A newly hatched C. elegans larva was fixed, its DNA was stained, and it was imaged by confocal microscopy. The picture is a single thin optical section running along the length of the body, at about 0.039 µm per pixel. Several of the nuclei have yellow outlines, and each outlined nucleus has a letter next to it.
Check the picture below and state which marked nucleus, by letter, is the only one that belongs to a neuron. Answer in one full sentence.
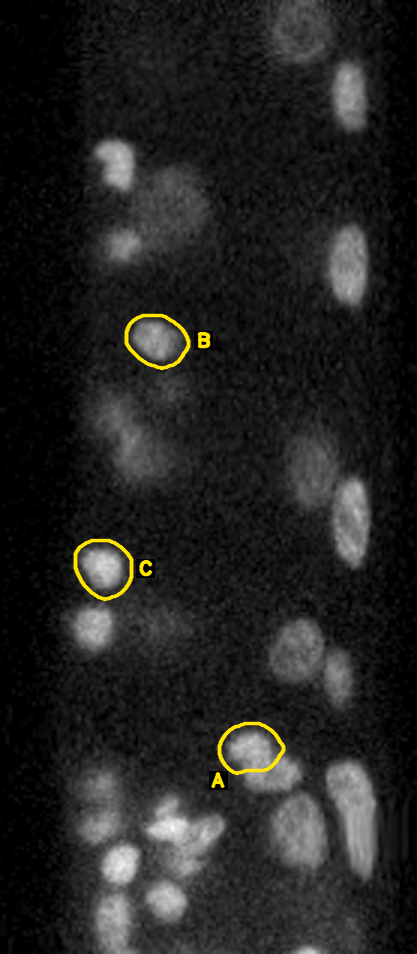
Of the marked nuclei, C is the one in a neuron.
